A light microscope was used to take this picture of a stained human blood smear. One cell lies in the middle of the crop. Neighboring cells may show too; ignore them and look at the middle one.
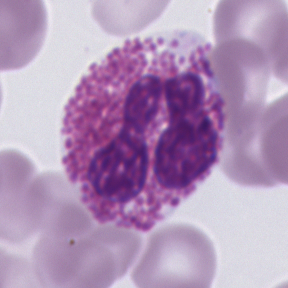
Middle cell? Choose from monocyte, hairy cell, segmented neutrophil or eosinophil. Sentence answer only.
This crop has an eosinophil at its centre.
